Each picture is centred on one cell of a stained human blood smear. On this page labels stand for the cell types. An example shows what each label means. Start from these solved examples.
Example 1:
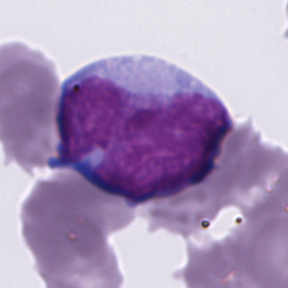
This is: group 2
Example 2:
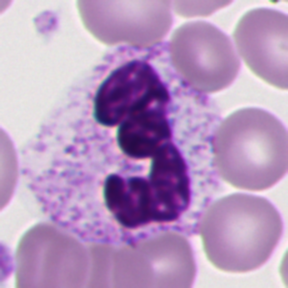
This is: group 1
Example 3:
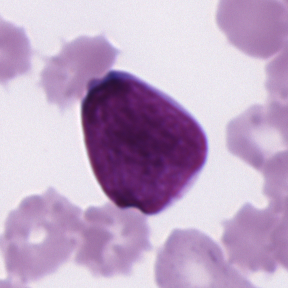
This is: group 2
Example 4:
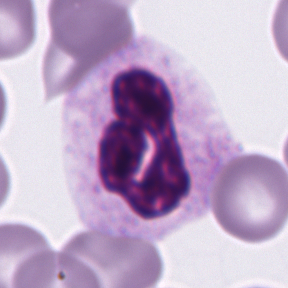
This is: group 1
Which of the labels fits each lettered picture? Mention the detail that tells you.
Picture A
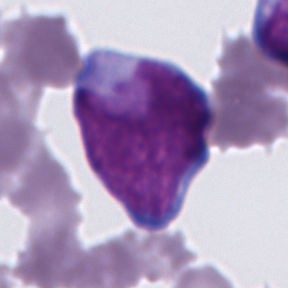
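group 2. Evidence: The cytoplasm forms only a thin rim that stains blue.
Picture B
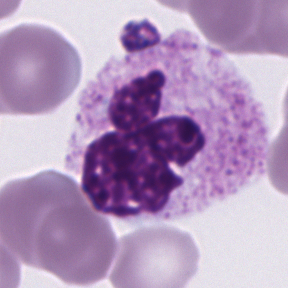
group 1. Evidence: The cytoplasm is abundant and pale pinkish-lilac.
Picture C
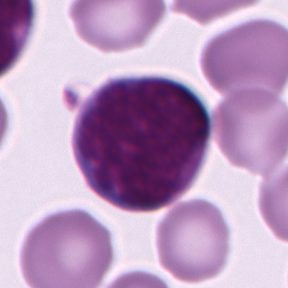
group 2. Evidence: The nucleus fills almost the whole cell, leaving only a very thin rim of cytoplasm.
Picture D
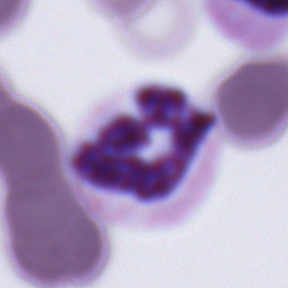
group 1. Evidence: The cytoplasm is pale pink.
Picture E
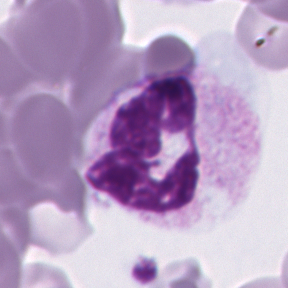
group 1. Evidence: The nucleus is a thick curved band that loops around a pale central gap, like a ring.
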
